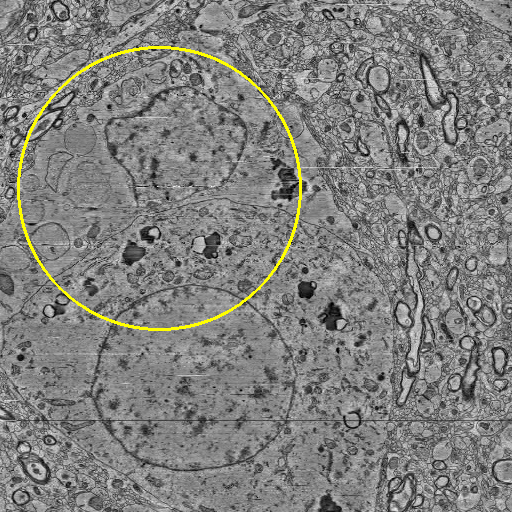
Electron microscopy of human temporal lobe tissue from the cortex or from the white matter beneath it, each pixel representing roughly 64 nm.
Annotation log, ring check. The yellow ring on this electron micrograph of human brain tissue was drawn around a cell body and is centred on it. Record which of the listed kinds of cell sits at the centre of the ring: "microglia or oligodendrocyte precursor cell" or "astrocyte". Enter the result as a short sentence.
The cell at the centre of the ring is an astrocyte.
